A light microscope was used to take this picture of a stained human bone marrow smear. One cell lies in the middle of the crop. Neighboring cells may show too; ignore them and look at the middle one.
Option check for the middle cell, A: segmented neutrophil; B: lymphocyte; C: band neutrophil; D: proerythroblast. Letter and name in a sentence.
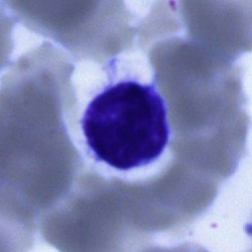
Answer key: option B, the middle cell being a lymphocyte.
